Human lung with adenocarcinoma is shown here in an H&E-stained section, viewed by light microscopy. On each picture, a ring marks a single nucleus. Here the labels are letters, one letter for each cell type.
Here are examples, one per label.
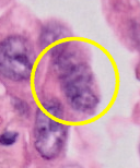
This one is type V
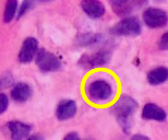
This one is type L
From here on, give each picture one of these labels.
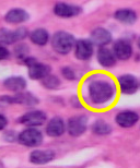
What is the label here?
type L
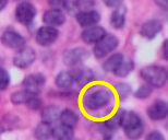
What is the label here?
type L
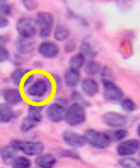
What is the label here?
type L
